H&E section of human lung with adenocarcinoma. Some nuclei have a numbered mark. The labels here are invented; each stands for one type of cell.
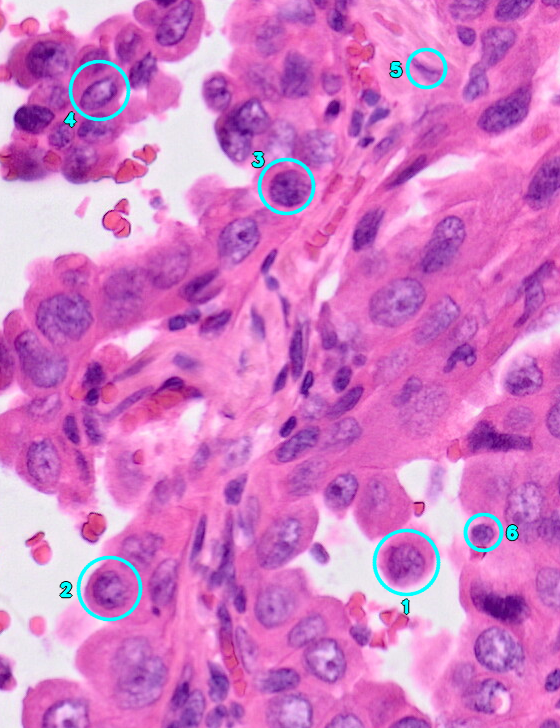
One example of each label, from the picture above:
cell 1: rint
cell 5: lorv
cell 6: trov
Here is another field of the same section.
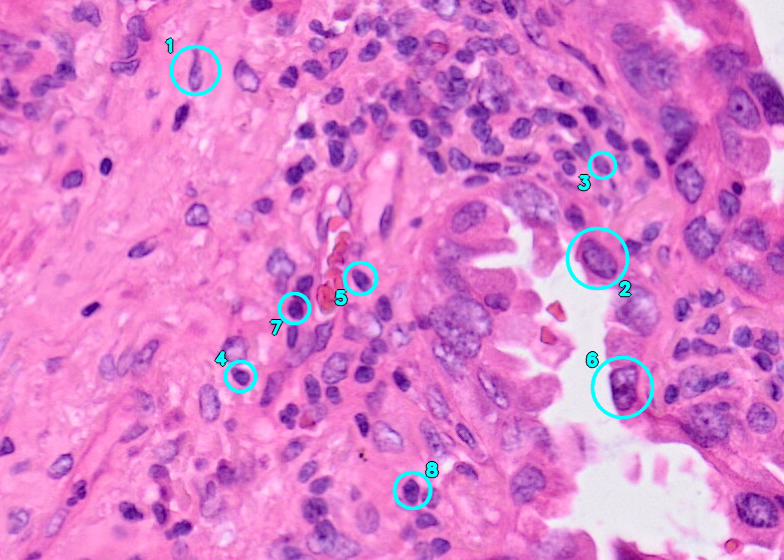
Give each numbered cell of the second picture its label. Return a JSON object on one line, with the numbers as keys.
{"1": "lorv", "2": "rint", "3": "trov", "4": "trov", "5": "trov", "6": "rint", "7": "trov", "8": "trov"}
